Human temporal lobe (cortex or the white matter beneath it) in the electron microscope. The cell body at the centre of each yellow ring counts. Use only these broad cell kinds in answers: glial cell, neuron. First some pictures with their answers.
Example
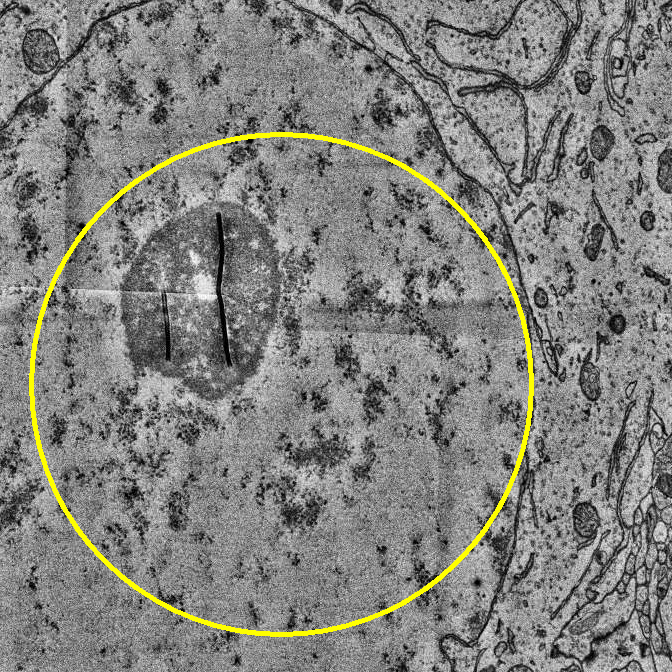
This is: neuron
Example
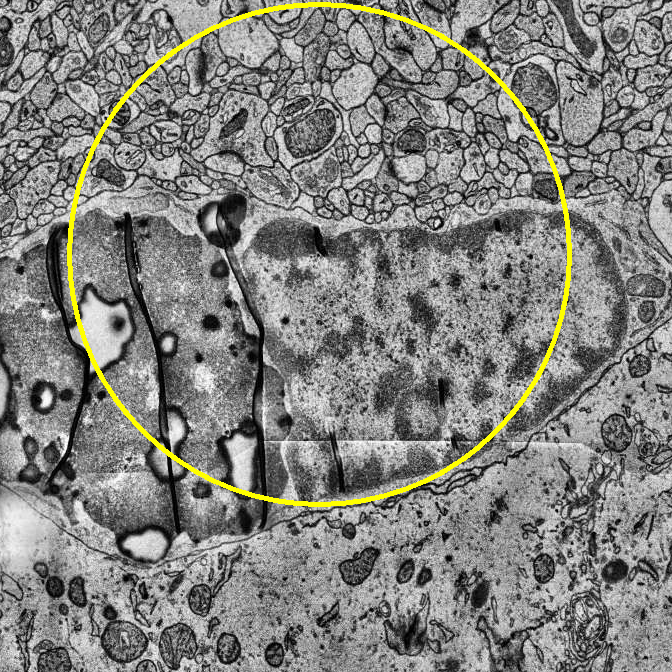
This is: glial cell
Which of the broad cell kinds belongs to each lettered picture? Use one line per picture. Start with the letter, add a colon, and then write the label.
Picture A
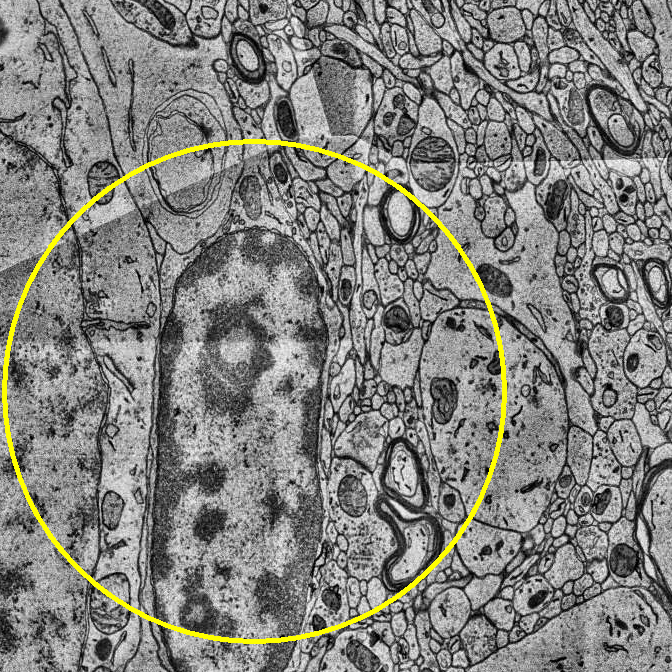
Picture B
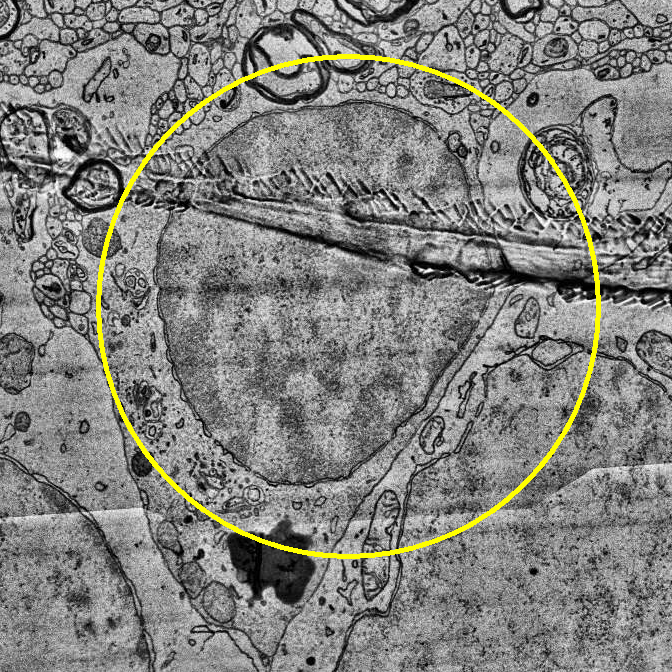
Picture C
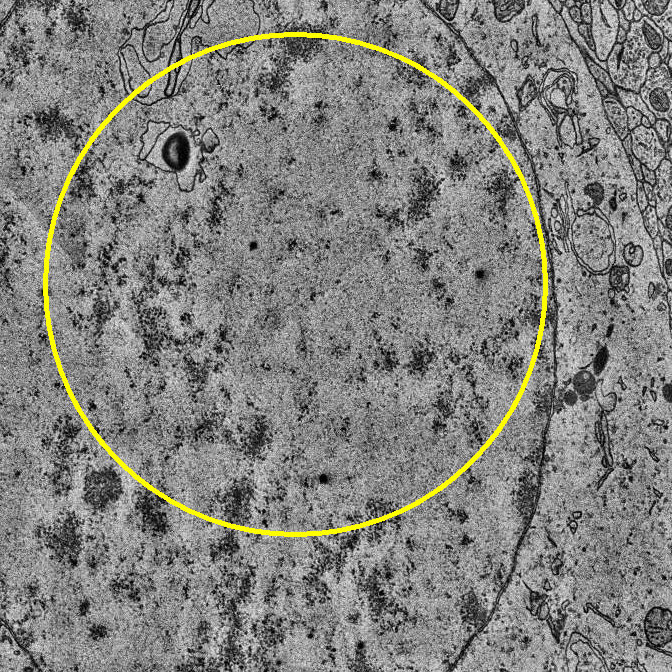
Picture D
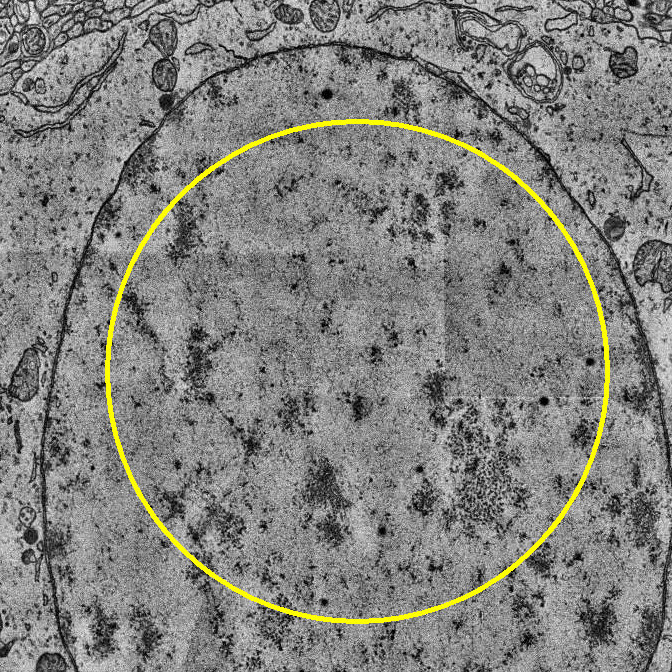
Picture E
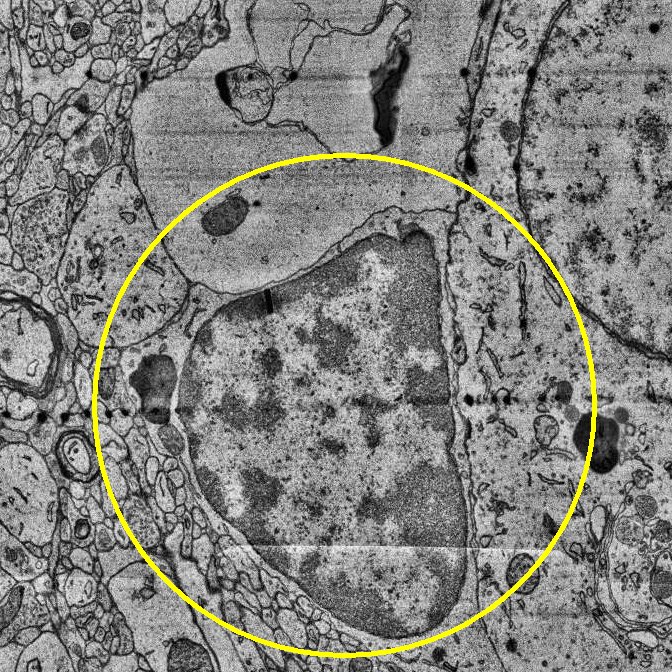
A: glial cell
B: glial cell
C: neuron
D: neuron
E: glial cell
